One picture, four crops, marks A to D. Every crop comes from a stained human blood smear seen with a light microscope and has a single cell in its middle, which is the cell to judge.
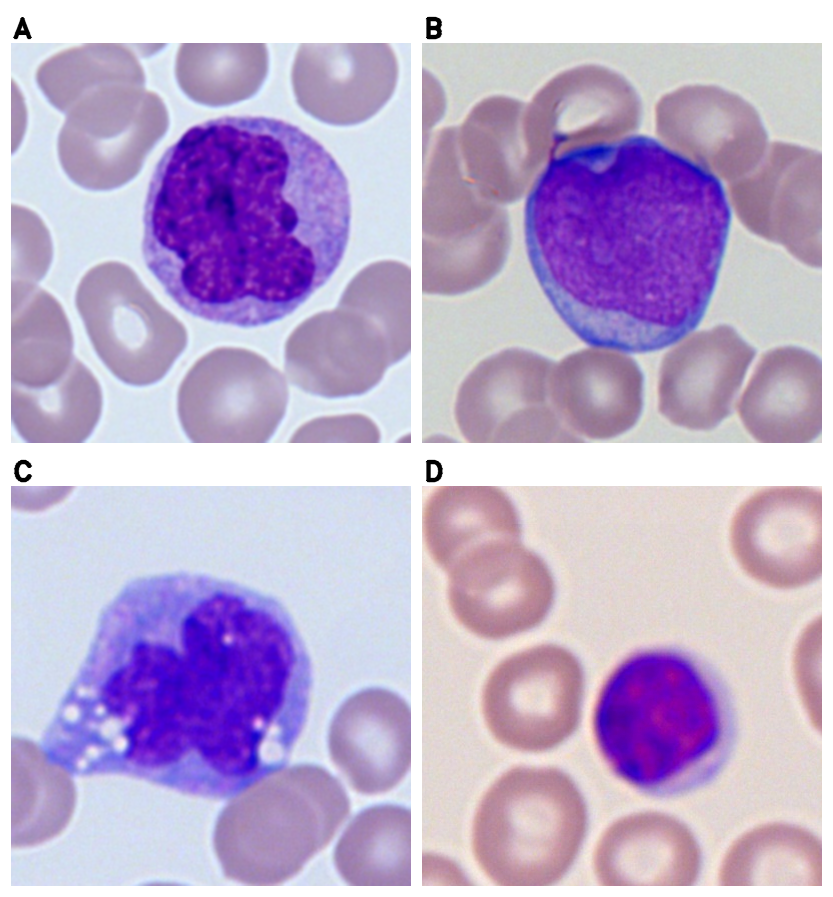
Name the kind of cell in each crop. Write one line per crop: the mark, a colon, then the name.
A: monocyte
B: myeloblast
C: monocyte
D: lymphocyte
